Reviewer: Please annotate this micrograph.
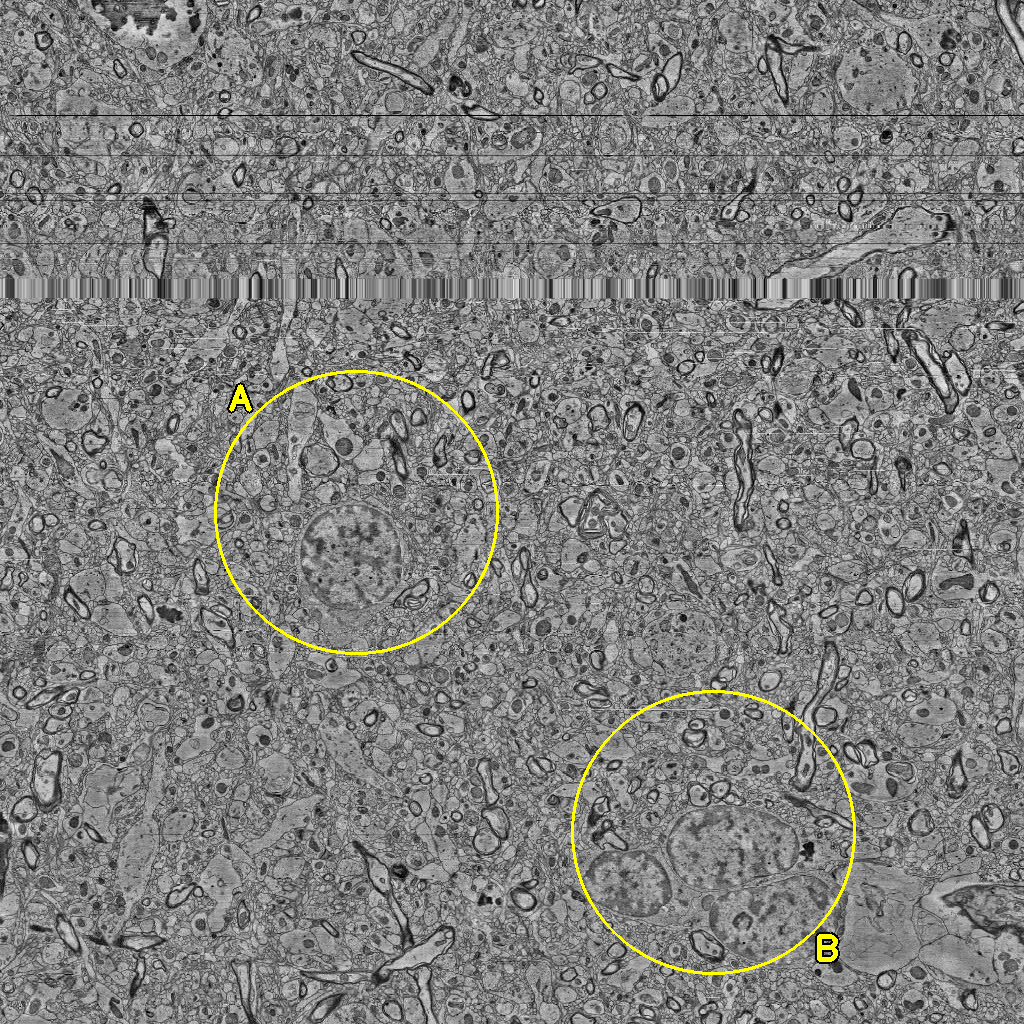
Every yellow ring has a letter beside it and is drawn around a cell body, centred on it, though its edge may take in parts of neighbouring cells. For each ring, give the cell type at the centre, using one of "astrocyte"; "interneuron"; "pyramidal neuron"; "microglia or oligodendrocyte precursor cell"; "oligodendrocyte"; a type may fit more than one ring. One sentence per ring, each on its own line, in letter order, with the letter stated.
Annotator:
The cell in the middle of ring A is an oligodendrocyte.
The cell in the middle of ring B is an oligodendrocyte.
